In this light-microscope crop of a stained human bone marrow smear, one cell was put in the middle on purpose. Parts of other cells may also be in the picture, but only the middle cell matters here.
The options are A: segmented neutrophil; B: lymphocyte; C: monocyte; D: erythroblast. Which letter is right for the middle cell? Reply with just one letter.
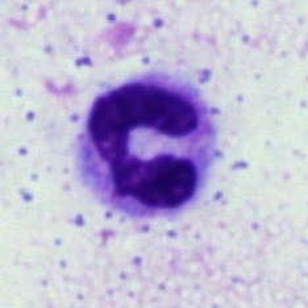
A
